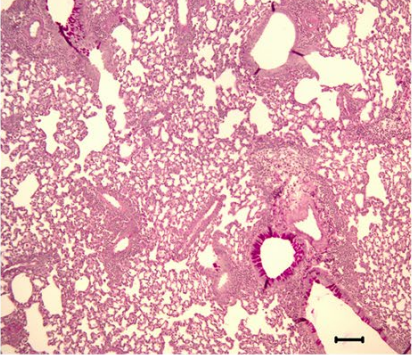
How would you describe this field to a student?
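Low-power section of lung showing bronchioles and blood vessels set in alveolar parenchyma. The surrounding alveolar walls are thin and pale pink, with open air spaces. Denser cellular tissue gathers around some airways and the adjacent vessels. The magenta stain is confined to the airway lining.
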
